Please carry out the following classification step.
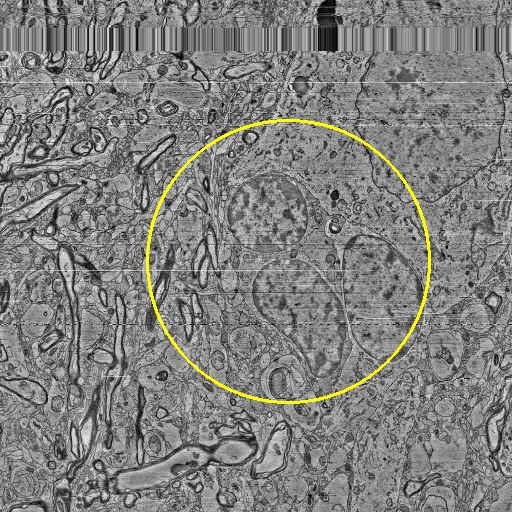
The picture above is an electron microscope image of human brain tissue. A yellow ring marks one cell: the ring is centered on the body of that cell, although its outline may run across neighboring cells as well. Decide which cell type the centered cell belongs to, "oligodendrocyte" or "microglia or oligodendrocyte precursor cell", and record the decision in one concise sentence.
The cell centered in the yellow ring is an oligodendrocyte.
